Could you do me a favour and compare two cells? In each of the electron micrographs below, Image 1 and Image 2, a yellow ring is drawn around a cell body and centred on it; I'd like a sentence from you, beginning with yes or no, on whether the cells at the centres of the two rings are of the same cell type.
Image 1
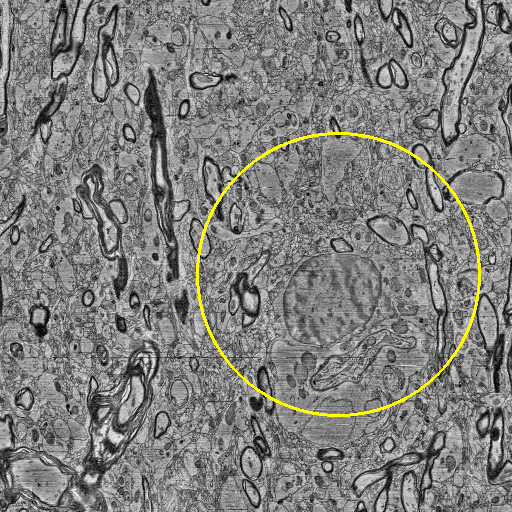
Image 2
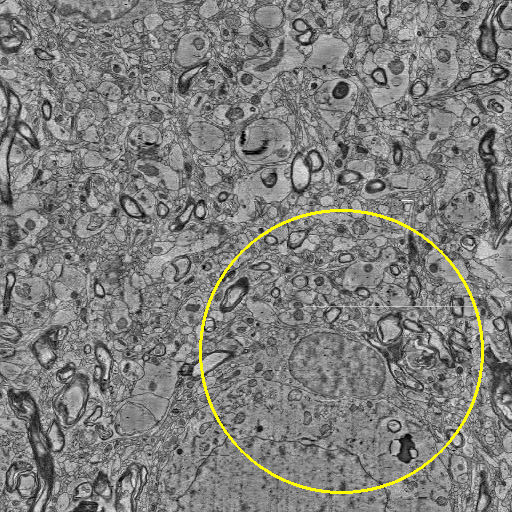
Yes, the two cells are of the same cell type.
